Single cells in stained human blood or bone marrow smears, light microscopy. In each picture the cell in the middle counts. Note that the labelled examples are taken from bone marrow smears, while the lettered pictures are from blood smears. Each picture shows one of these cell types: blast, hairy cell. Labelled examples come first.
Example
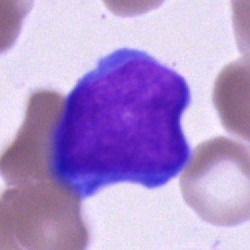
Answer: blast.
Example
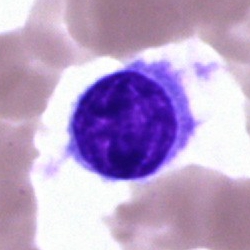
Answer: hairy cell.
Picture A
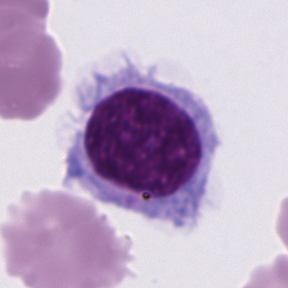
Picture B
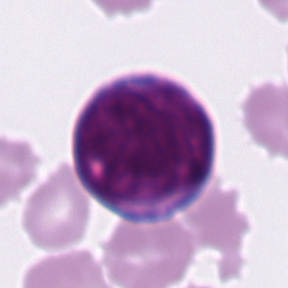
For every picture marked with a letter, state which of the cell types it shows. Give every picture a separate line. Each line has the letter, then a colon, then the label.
A: hairy cell.
B: blast.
